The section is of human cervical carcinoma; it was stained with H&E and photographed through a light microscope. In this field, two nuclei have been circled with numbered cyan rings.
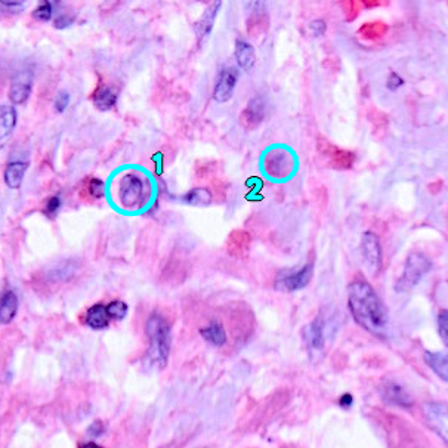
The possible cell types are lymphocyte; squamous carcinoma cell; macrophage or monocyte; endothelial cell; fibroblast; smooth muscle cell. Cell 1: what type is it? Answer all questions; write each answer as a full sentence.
Among the marked nuclei, number 1 belongs to a macrophage or monocyte.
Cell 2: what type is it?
The cell that carries the label 2 is a fibroblast.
